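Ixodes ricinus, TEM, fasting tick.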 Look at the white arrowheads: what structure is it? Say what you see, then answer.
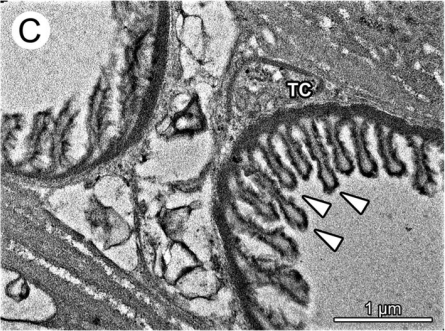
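Taenidia. Dark finger-like projections line the inner surface of a tube. The projections point into a pale lumen.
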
